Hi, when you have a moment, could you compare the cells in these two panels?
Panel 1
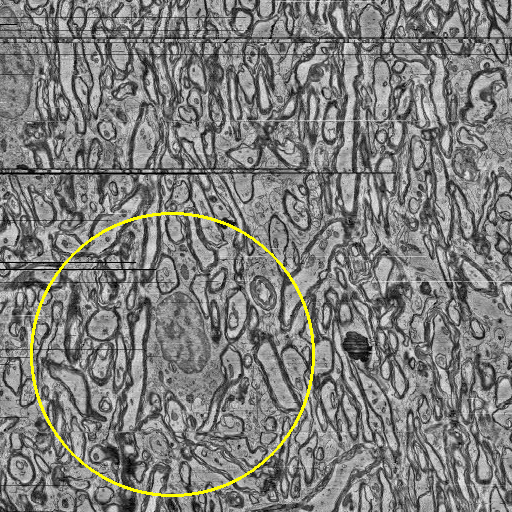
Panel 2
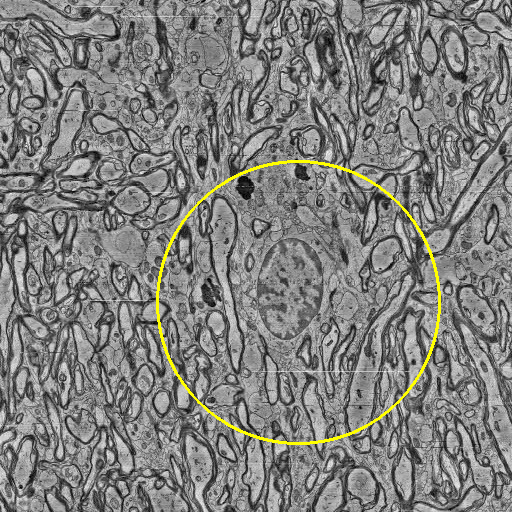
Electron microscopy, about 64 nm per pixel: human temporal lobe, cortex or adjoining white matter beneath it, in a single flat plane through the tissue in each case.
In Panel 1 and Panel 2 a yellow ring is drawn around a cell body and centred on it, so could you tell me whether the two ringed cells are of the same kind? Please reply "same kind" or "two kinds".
two kinds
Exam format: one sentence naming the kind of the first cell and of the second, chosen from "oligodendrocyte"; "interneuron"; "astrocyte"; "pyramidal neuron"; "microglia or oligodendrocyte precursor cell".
The first picture's cell is an oligodendrocyte, and the second picture's cell is a microglial cell or oligodendrocyte precursor cell.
